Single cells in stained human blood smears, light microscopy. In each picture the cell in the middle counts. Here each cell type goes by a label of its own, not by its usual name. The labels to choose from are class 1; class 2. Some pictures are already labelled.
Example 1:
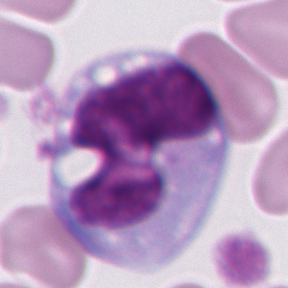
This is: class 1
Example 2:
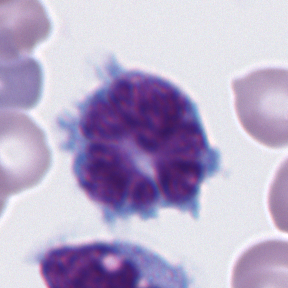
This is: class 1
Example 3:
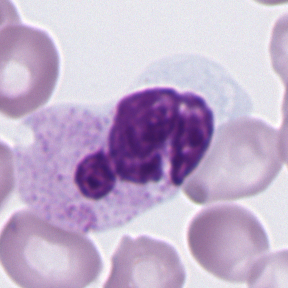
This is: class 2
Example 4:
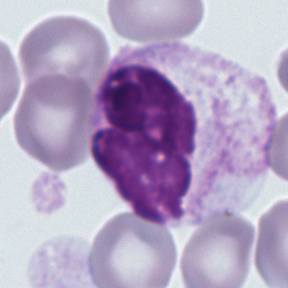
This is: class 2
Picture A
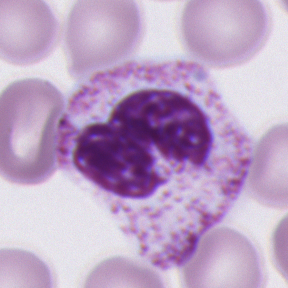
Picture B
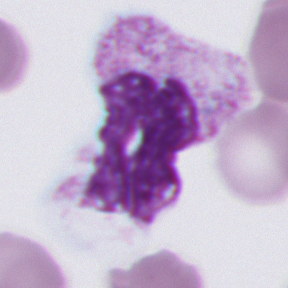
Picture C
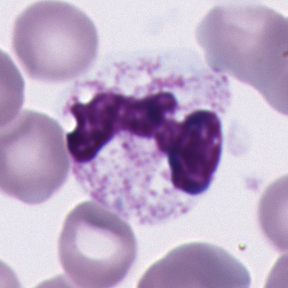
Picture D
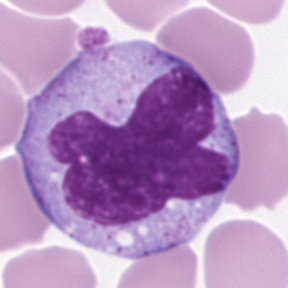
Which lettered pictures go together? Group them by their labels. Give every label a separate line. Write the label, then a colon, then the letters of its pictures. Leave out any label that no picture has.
class 1: D
class 2: A, B, C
